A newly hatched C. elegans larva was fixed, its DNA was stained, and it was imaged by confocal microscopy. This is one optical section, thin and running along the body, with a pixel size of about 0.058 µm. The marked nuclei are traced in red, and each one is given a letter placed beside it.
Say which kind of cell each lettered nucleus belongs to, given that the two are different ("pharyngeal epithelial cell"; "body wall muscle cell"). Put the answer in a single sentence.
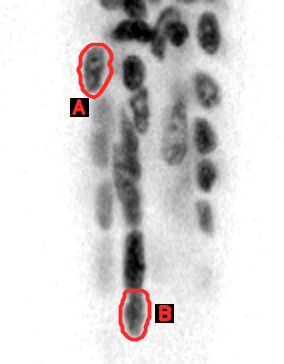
B belongs to a pharyngeal epithelial cell, and A to a body wall muscle cell.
